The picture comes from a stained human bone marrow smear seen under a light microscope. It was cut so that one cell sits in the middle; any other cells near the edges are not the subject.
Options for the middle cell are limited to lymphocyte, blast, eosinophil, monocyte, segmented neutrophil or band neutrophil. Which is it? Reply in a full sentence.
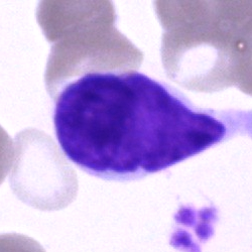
In the centre of this crop there is a lymphocyte.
